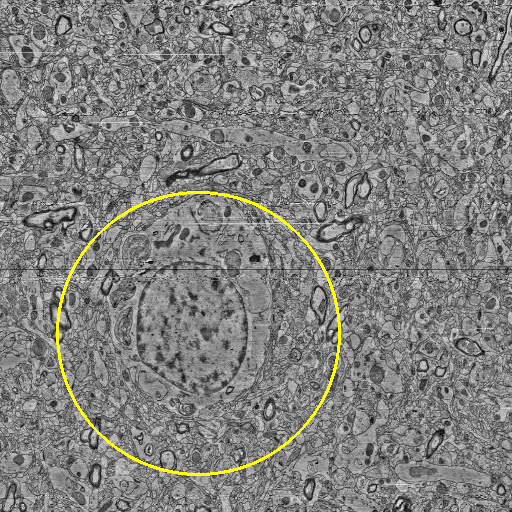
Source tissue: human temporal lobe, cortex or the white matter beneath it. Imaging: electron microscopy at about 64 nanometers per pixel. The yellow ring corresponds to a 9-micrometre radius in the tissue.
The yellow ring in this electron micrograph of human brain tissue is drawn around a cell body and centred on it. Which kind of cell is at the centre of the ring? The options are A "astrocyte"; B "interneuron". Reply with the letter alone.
A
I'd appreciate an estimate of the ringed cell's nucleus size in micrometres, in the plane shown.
Roughly 9 by 7 micrometres is the size of the nucleus in this plane.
